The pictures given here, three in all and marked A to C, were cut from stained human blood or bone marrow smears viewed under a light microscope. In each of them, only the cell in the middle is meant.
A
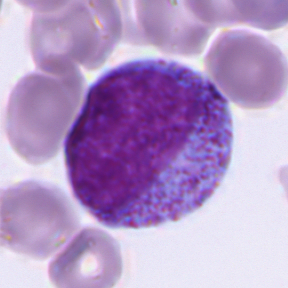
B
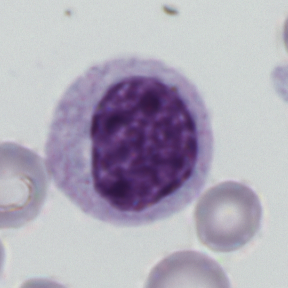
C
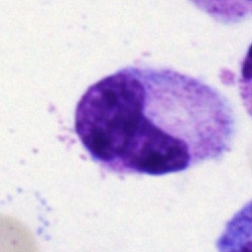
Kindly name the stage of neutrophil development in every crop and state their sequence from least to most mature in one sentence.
The sequence of maturation runs crop A (a promyelocyte), crop B (a myelocyte) and crop C (a metamyelocyte), from least to most mature.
